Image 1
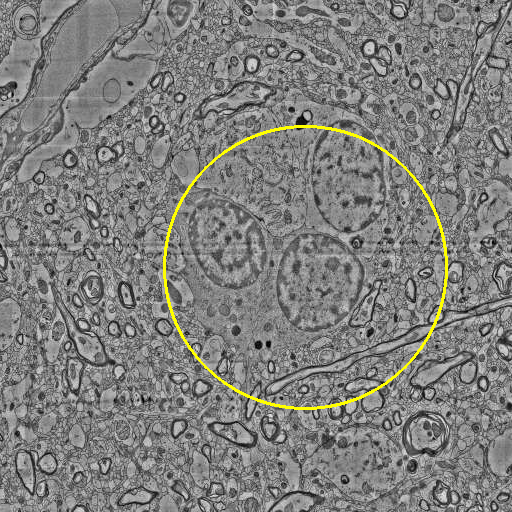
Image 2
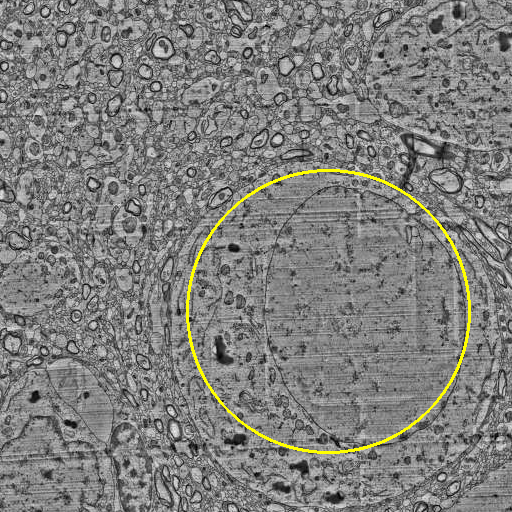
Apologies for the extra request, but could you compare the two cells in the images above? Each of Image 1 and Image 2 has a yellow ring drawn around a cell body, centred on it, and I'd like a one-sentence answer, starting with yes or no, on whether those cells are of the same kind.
No, the two cells are of two kinds.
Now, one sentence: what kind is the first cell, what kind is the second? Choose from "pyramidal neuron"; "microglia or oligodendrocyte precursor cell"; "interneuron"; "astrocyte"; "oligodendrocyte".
The first picture has an oligodendrocyte at its ring centre, and the second has a pyramidal neuron.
